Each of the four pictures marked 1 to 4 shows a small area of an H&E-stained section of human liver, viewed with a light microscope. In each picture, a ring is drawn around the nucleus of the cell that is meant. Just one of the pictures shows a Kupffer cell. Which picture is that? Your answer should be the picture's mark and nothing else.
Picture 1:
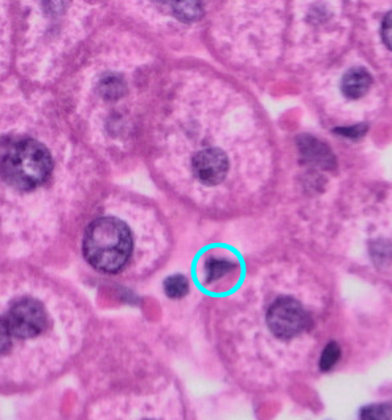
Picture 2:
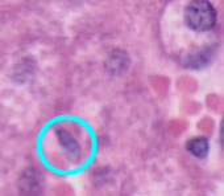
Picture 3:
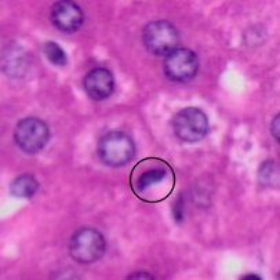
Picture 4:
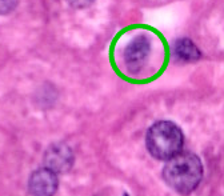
4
